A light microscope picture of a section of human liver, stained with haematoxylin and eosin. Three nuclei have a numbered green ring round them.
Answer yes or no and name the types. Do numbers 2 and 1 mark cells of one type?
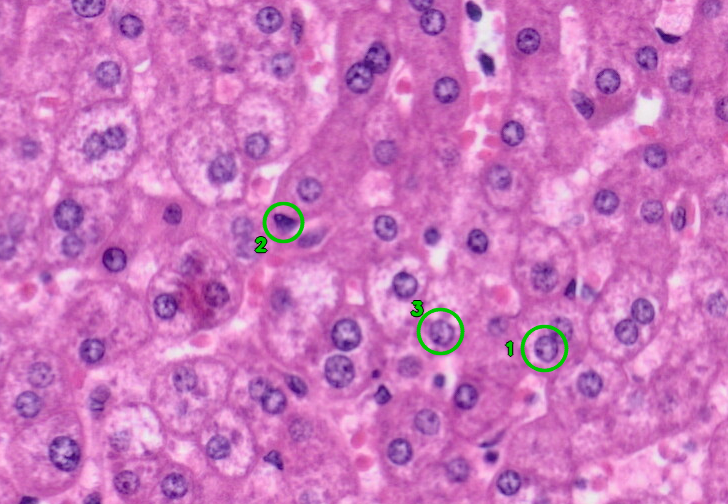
No, the cell tagged 2 is a fibroblast or stellate cell, whereas the cell tagged 1 is a hepatocyte.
